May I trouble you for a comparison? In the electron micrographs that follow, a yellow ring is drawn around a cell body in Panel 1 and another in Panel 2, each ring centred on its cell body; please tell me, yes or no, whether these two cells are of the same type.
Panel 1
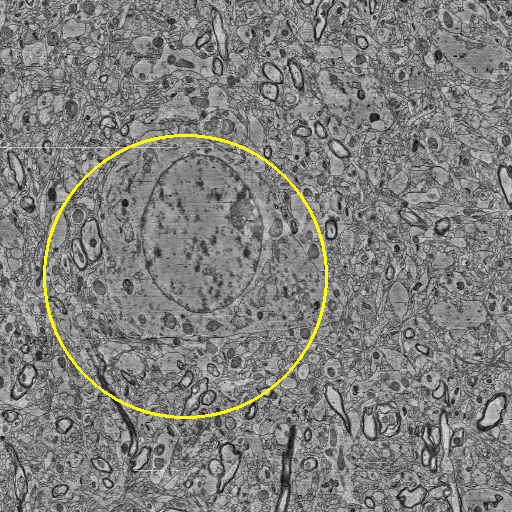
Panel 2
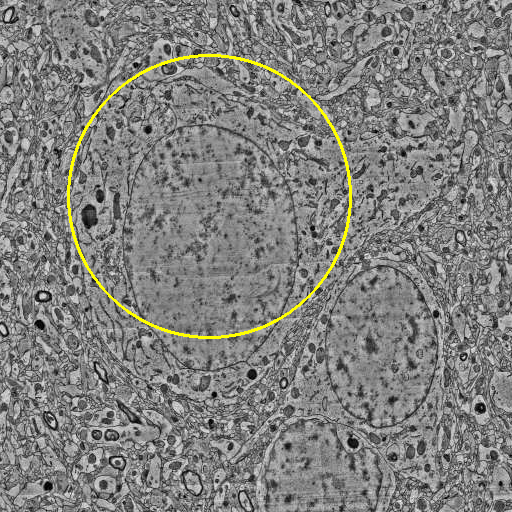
yes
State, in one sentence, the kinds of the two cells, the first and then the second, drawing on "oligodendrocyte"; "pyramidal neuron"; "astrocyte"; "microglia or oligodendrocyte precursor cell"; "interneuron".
In each picture the ringed cell is a pyramidal neuron.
